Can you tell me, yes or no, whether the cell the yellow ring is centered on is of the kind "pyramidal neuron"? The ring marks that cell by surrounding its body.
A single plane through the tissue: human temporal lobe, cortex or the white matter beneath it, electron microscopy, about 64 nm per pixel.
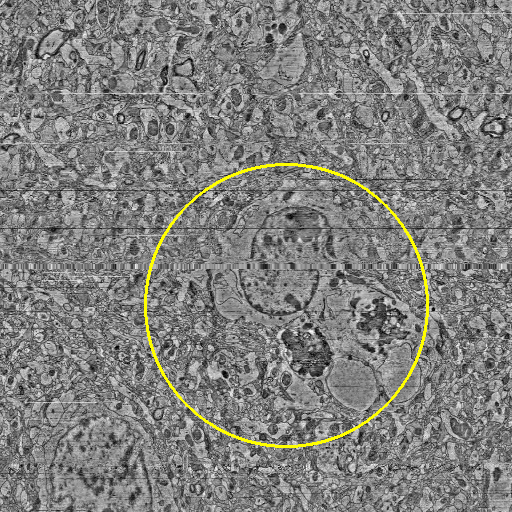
no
